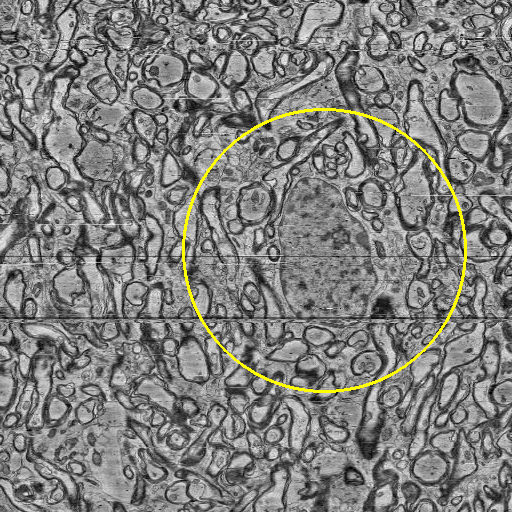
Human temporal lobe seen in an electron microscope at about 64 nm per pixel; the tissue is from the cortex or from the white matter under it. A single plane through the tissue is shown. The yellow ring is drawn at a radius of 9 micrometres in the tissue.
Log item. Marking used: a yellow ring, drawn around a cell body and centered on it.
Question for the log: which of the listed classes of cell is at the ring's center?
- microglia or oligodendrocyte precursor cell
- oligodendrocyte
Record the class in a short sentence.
At the center of the ring lies a microglial cell or oligodendrocyte precursor cell.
